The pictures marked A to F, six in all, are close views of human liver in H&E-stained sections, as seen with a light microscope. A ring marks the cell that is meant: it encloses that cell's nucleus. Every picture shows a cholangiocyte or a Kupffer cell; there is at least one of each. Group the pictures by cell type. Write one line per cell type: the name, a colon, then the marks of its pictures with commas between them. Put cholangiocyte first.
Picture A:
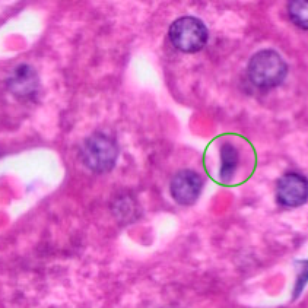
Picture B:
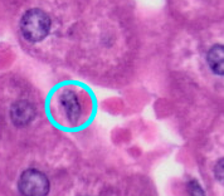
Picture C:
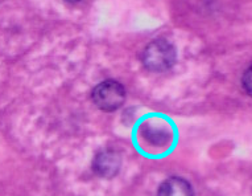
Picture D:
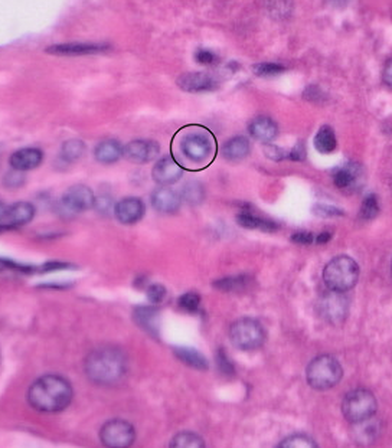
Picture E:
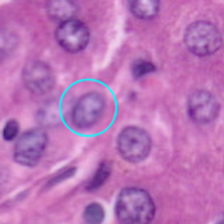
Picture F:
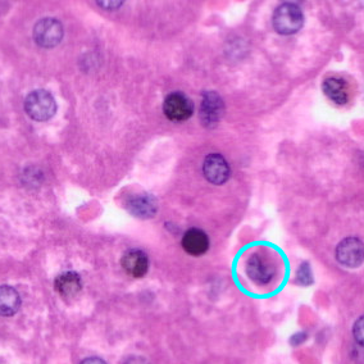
cholangiocyte: D, E
Kupffer cell: A, B, C, F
